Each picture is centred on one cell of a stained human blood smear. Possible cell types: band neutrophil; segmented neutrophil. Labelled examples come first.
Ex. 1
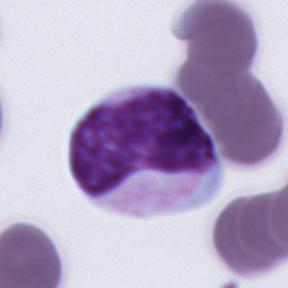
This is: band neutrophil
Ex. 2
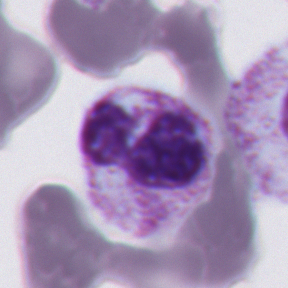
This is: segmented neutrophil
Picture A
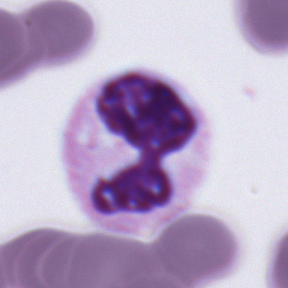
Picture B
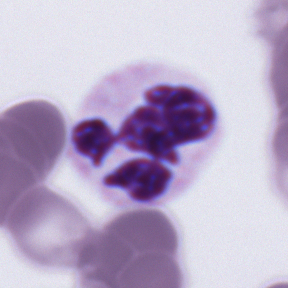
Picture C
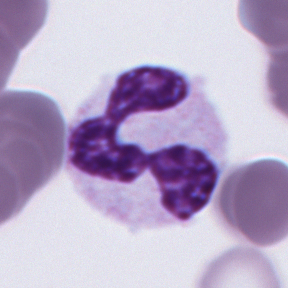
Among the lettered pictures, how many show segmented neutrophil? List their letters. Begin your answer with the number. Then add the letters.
Count: 3 (A, B, C)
